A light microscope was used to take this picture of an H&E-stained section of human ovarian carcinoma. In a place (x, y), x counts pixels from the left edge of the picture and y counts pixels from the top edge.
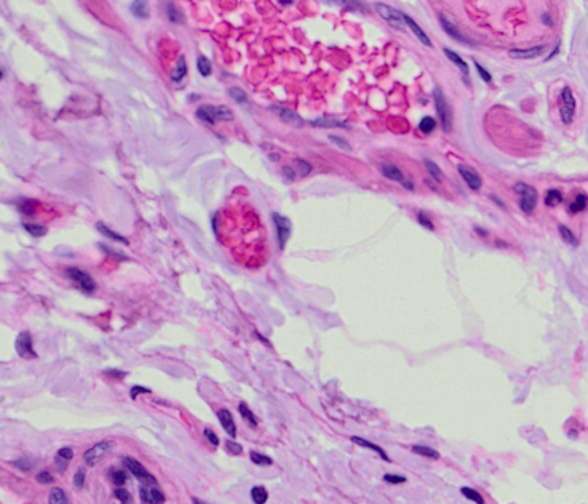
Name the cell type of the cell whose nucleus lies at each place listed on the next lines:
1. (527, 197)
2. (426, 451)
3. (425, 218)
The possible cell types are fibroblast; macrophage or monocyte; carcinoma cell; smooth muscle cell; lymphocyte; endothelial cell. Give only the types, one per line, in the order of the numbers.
endothelial cell
fibroblast
endothelial cell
